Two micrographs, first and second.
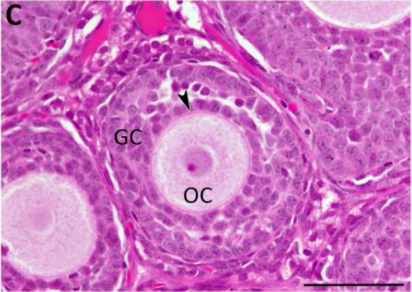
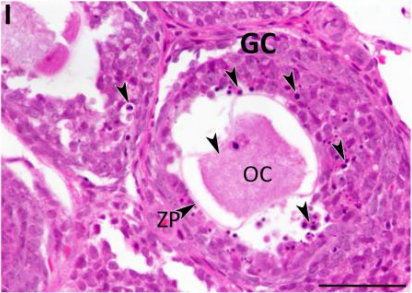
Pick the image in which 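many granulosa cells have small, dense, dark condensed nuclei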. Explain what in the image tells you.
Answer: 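The second image. Second image: numerous small, very dark round dots are scattered through the granulosa layers and near the oocyte. First image: granulosa nuclei are fairly uniform, with hardly any condensed dark dots.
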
